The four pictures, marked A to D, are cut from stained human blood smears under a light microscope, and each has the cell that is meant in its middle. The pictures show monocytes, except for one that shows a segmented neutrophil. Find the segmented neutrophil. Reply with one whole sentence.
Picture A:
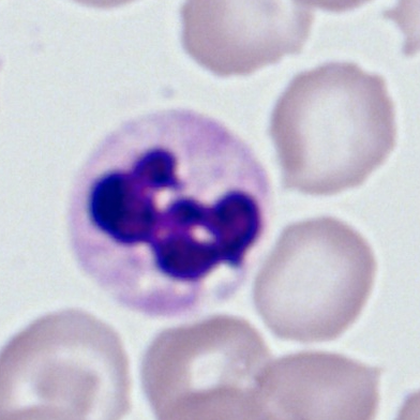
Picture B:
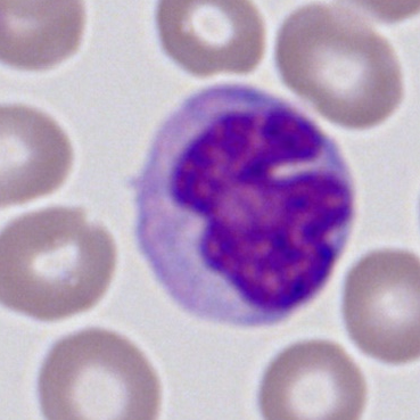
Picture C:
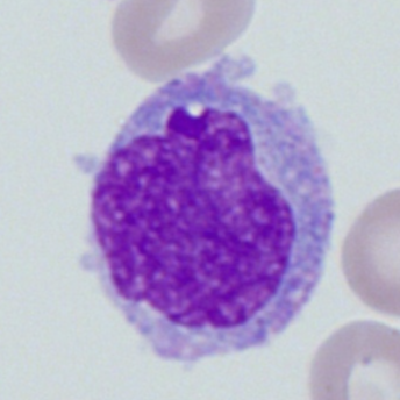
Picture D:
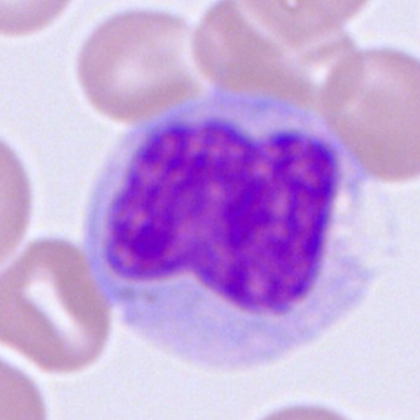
Picture A shows the segmented neutrophil.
